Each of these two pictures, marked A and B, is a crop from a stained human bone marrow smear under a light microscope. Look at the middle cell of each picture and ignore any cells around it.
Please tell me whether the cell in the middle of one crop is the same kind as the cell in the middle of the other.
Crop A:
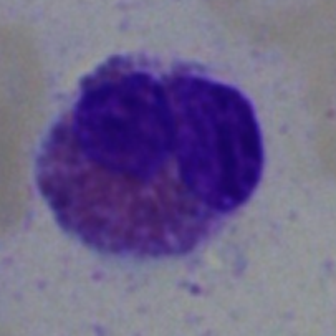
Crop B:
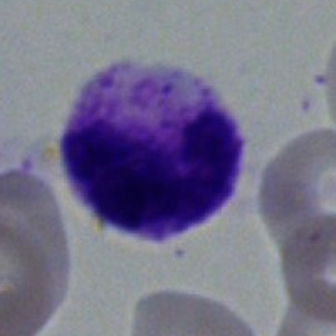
no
